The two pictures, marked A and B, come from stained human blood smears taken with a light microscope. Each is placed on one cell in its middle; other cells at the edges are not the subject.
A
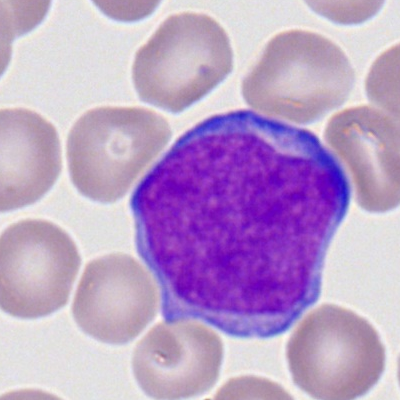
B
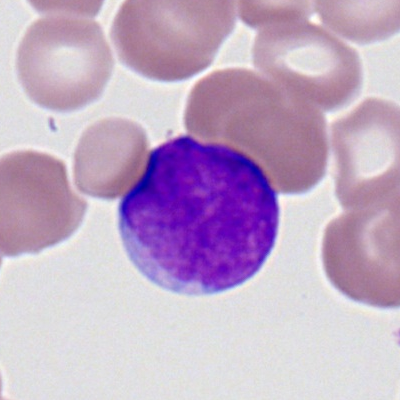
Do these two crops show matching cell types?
yes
